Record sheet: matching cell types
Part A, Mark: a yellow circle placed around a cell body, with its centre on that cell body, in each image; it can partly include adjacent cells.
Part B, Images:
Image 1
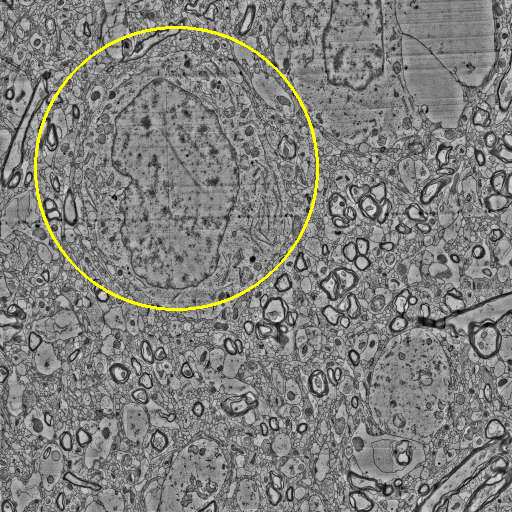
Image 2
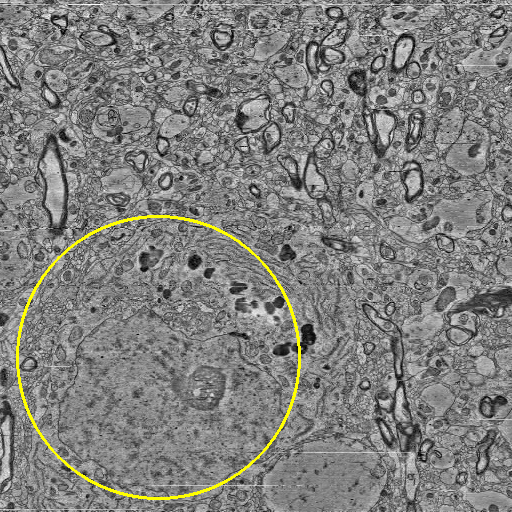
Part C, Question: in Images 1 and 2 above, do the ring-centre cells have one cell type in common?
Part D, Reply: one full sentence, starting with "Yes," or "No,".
Yes, the ring-centre cells of Image 1 and Image 2 are both of a single cell type.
